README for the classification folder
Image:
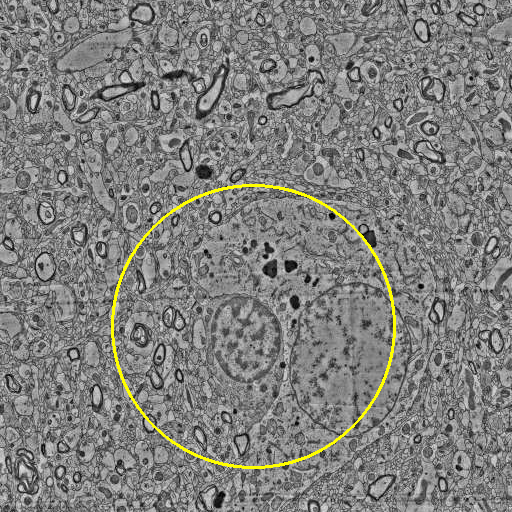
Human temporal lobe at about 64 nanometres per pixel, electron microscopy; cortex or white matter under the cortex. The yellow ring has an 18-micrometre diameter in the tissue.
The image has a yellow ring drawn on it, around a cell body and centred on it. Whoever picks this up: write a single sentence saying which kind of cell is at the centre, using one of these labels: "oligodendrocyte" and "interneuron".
This cell body is that of an oligodendrocyte.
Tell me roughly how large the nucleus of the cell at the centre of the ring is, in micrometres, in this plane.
In this plane, approximately 5 by 4 micrometers.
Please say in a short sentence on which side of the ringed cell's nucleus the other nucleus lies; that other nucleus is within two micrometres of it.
The other nucleus is found to the right of it.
